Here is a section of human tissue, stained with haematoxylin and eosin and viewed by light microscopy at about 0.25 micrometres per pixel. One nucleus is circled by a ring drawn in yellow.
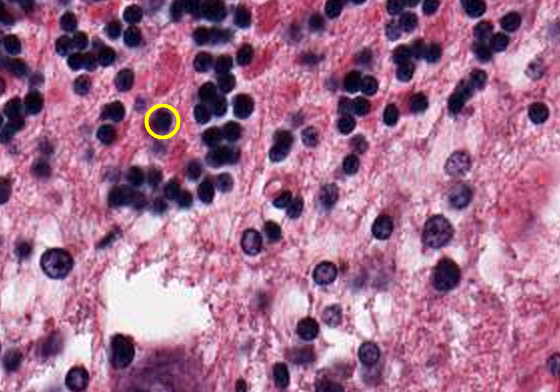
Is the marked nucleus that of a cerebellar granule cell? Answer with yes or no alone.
yes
